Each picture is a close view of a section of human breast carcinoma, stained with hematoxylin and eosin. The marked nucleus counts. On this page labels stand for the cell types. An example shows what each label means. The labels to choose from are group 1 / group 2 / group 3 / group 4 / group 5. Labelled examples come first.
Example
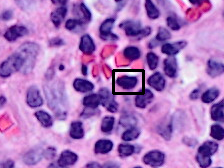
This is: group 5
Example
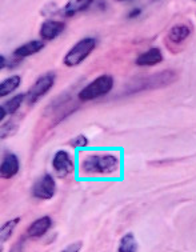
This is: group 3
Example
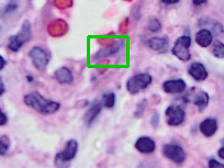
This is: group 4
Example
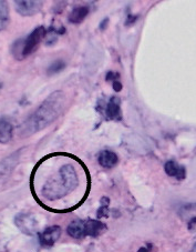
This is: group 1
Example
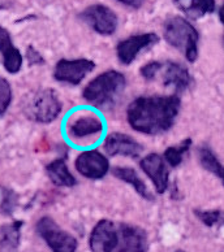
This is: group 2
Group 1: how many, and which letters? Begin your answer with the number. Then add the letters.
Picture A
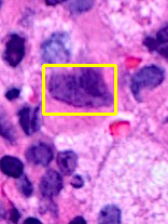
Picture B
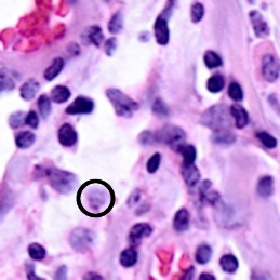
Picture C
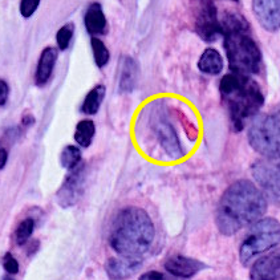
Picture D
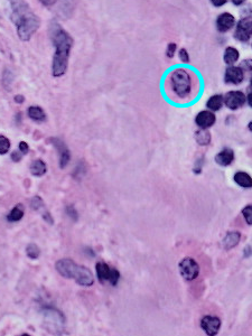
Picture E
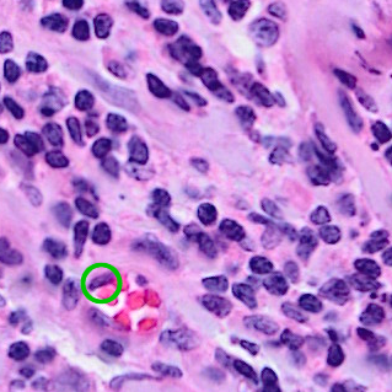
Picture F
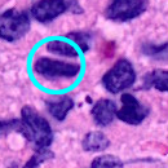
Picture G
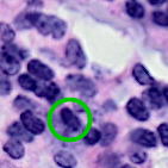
Count: 1 (B)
